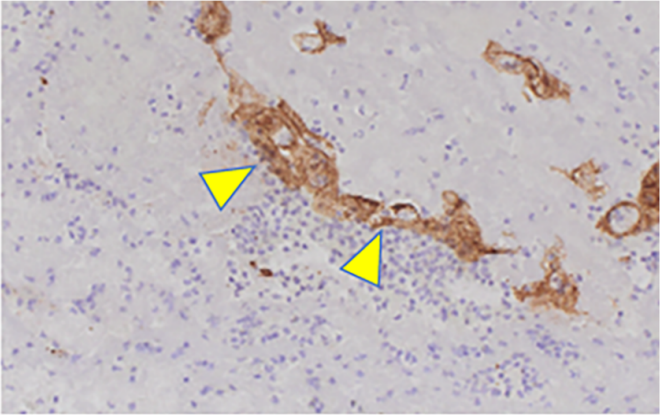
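The brown-stained cells form an elongated cohesive band and several smaller ring-like and irregular clusters. The staining fills their cytoplasm, while the background cells show only small blue nuclei. A dense row of small blue nuclei lies alongside the main brown band.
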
